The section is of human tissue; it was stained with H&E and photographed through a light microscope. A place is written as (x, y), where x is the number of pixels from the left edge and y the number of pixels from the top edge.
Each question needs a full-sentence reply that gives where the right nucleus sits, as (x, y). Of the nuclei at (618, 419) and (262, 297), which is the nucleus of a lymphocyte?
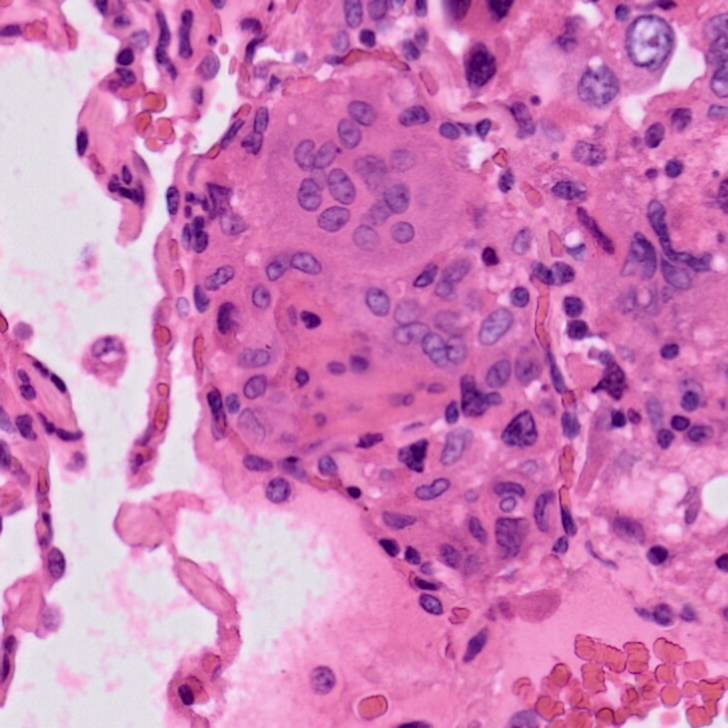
It is the nucleus at (618, 419), not the other one, that belongs to a lymphocyte.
